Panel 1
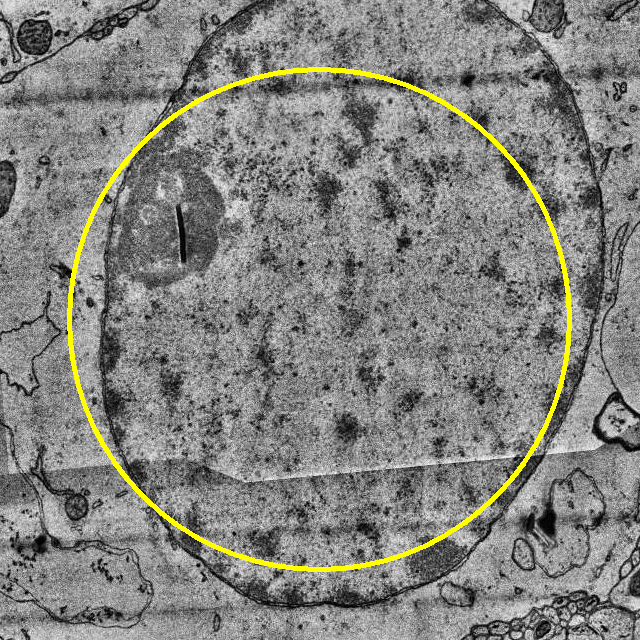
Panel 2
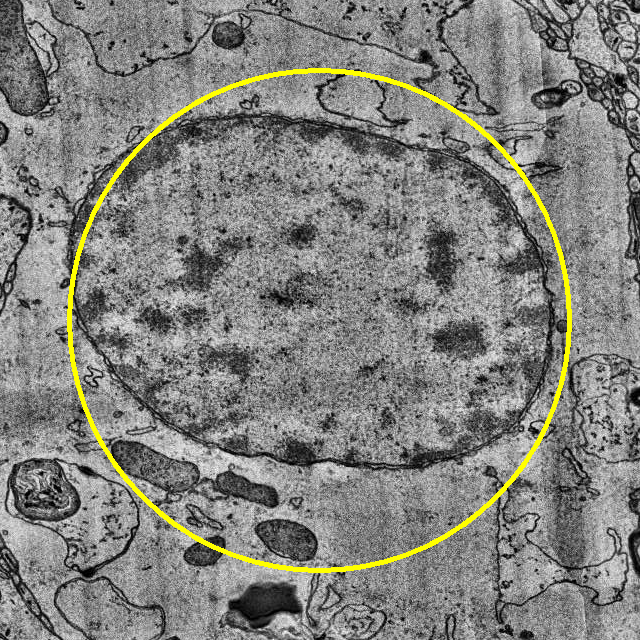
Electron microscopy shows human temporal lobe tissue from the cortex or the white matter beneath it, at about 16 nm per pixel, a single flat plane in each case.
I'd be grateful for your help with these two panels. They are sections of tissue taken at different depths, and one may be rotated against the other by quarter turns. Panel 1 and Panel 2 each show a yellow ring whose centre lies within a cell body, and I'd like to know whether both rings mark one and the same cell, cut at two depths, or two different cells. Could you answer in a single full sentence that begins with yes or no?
Yes, the rings do not mark different cells but one cell.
